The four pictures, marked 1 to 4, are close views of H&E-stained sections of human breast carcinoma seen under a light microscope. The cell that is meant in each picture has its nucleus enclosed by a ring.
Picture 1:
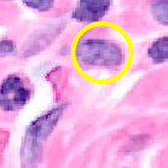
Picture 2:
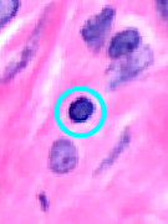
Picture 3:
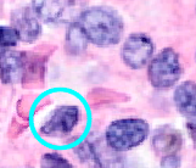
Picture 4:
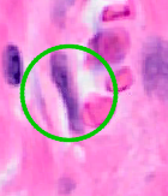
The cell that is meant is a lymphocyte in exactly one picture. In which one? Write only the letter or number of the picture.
2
